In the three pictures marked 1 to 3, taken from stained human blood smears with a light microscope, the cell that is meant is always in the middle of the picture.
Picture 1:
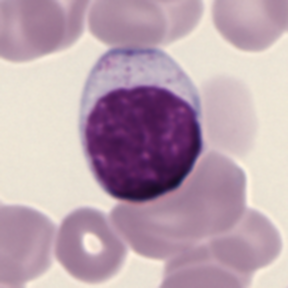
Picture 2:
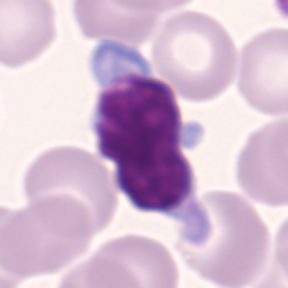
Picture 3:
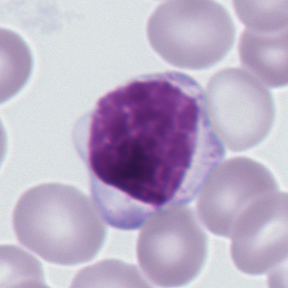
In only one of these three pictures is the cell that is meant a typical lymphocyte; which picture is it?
2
